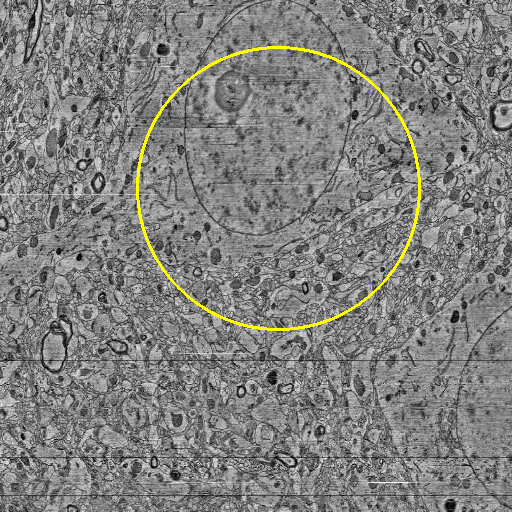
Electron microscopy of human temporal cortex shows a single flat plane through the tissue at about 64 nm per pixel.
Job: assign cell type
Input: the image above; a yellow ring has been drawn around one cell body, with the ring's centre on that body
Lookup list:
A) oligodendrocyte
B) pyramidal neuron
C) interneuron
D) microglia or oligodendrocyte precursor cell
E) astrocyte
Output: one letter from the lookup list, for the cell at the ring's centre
B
